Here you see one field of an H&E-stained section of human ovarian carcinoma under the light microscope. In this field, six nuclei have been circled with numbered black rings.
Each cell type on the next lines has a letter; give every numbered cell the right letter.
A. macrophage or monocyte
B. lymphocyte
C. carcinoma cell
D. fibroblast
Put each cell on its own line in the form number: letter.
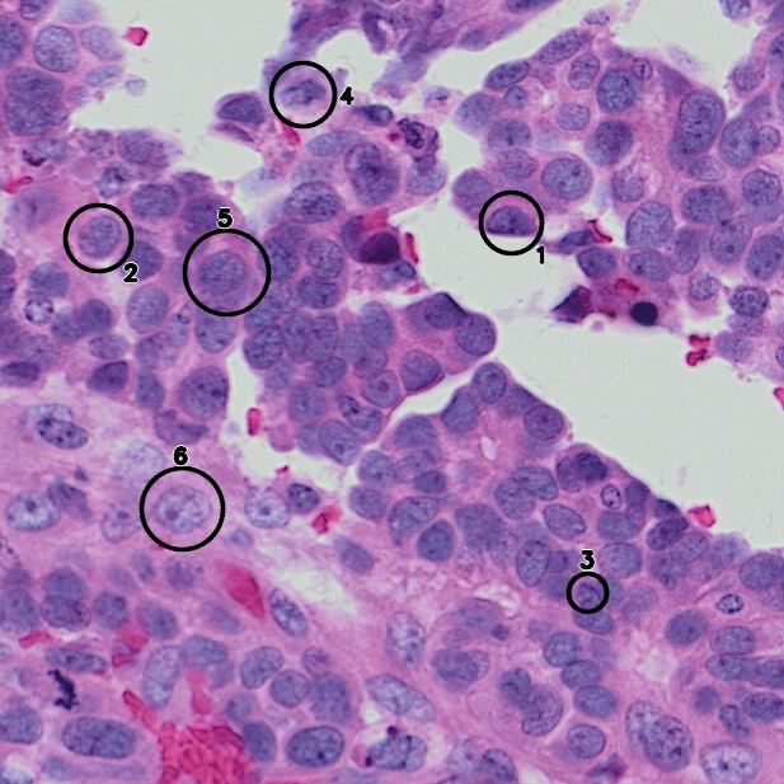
1: C
2: C
3: C
4: A
5: C
6: D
